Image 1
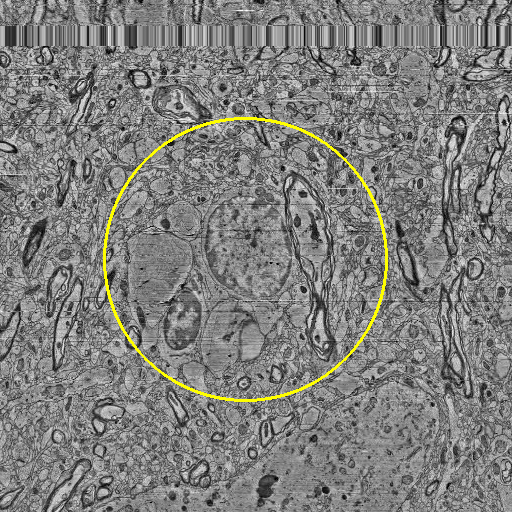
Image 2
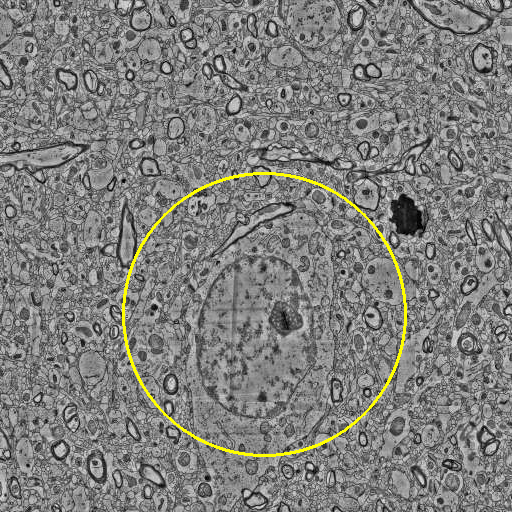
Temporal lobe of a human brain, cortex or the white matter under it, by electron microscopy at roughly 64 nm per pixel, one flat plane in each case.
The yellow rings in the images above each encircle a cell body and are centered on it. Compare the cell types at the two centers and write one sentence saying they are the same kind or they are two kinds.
Taken together, the two cells at the ring centers are two kinds.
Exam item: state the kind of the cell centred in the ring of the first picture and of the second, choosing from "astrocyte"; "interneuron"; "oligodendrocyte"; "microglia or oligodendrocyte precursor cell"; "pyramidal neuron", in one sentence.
The first picture shows an oligodendrocyte at the ring centre and the second shows an interneuron.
